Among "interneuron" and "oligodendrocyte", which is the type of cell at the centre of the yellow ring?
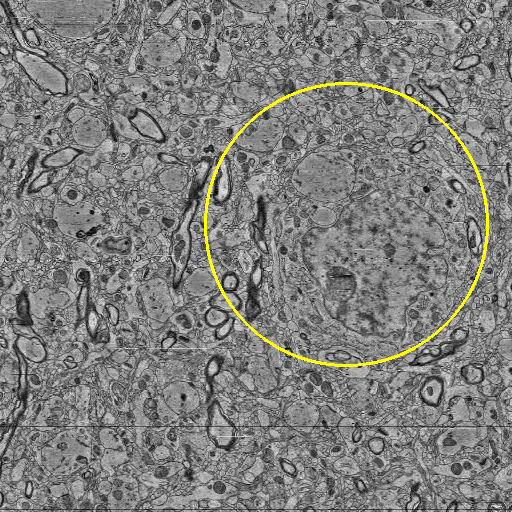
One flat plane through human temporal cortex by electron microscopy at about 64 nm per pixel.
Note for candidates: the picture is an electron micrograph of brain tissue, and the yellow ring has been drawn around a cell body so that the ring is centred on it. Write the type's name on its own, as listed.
interneuron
